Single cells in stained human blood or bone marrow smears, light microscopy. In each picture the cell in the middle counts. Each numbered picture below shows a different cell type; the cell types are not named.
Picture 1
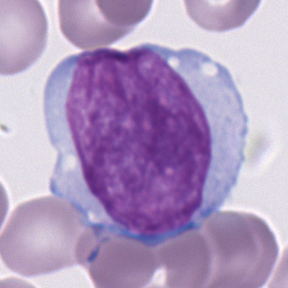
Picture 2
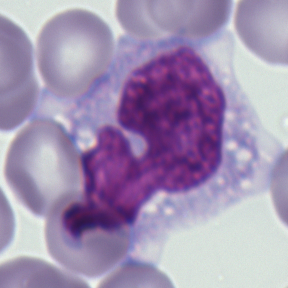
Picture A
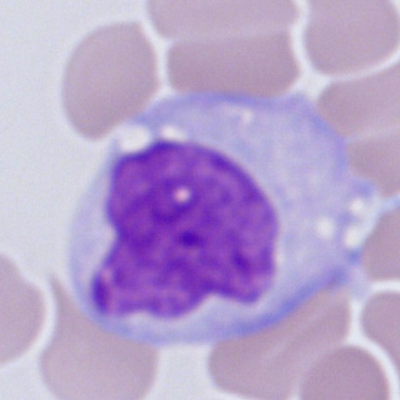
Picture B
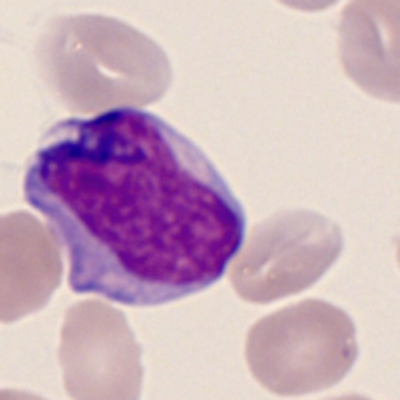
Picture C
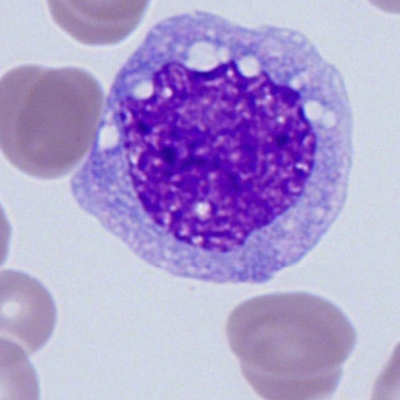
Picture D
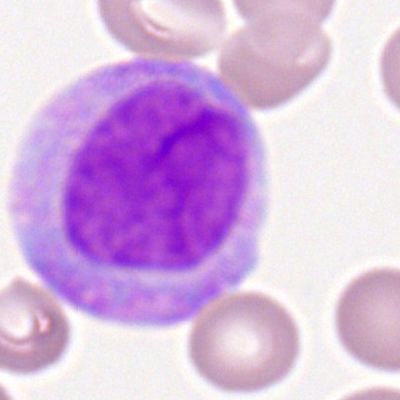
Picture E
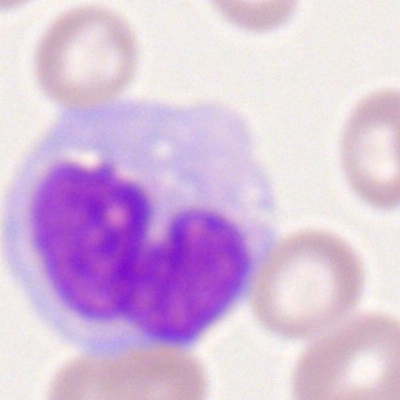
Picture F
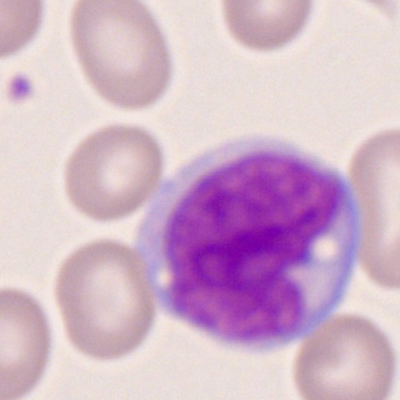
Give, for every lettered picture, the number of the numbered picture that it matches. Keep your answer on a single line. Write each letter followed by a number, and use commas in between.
A 2, B 1, C 2, D 2, E 2, F 2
